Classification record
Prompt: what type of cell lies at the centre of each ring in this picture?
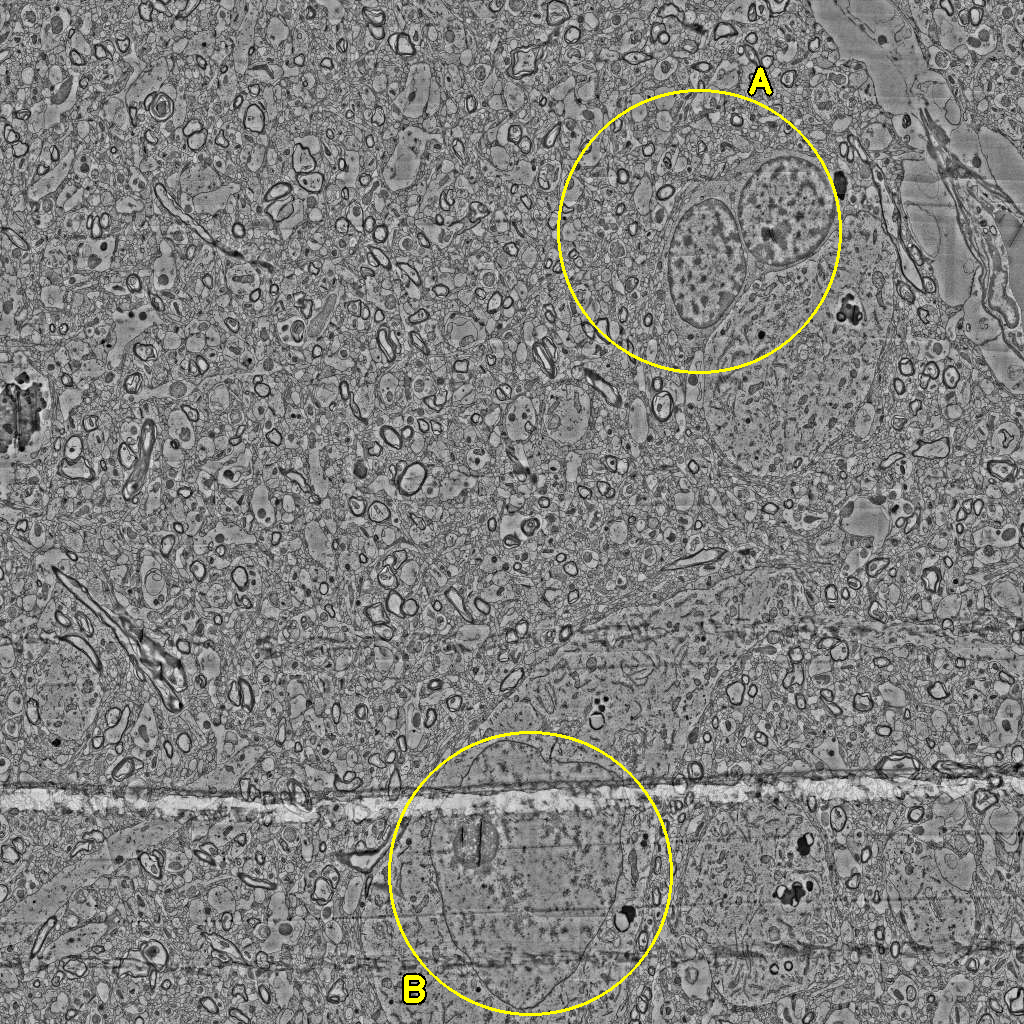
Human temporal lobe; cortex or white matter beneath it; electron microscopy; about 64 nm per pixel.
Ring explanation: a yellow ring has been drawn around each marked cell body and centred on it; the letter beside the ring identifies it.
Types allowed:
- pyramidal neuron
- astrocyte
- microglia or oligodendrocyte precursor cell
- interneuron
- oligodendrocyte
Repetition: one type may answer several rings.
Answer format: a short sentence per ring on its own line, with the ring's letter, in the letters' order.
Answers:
Ring A shows an oligodendrocyte at its centre.
Ring B shows a pyramidal neuron at its centre.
